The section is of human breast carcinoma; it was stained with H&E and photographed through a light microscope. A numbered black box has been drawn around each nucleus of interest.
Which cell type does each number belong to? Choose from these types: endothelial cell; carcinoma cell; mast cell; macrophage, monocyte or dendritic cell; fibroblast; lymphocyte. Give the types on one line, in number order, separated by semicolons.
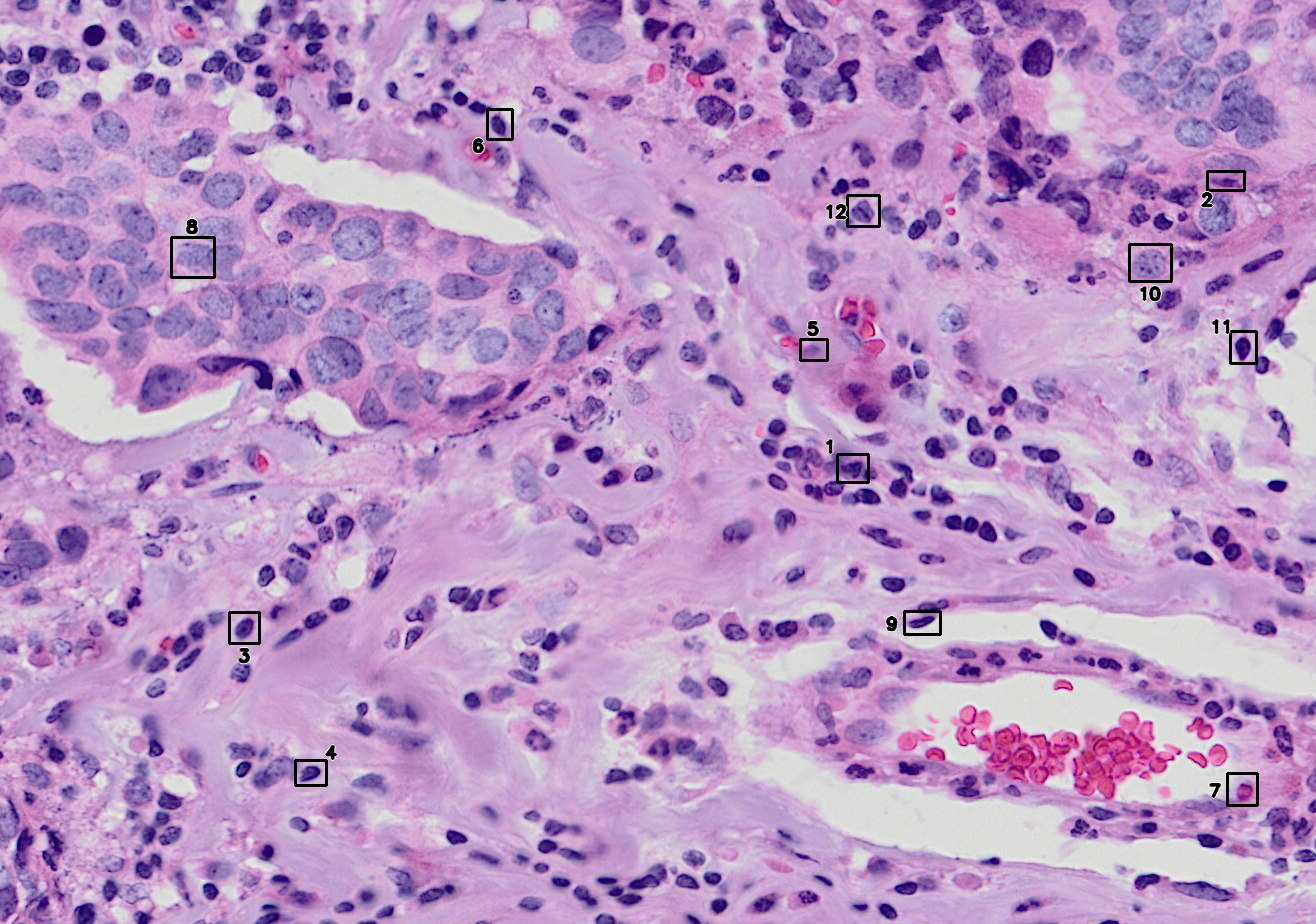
lymphocyte; carcinoma cell; lymphocyte; lymphocyte; endothelial cell; lymphocyte; endothelial cell; carcinoma cell; lymphocyte; macrophage, monocyte or dendritic cell; lymphocyte; lymphocyte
